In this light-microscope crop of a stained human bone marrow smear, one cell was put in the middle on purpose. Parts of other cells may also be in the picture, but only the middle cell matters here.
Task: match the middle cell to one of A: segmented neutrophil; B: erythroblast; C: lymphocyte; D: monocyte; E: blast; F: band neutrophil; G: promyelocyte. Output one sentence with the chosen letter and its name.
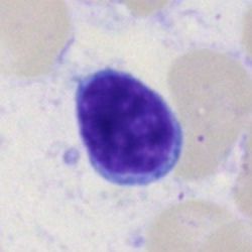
The cell right in the middle is a lymphocyte, so option C is the one.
